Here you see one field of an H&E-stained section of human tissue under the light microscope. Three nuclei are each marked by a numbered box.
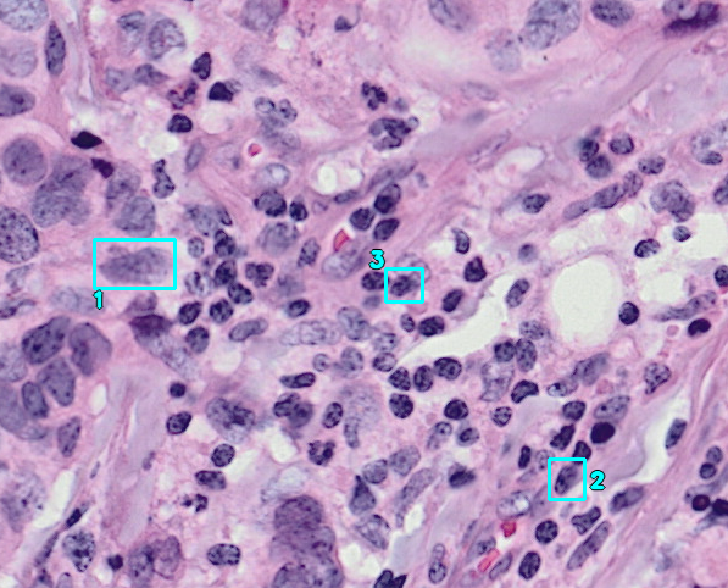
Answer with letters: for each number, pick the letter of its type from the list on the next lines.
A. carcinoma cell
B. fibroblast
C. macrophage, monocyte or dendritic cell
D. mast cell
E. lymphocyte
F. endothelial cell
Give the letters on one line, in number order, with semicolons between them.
A; E; E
